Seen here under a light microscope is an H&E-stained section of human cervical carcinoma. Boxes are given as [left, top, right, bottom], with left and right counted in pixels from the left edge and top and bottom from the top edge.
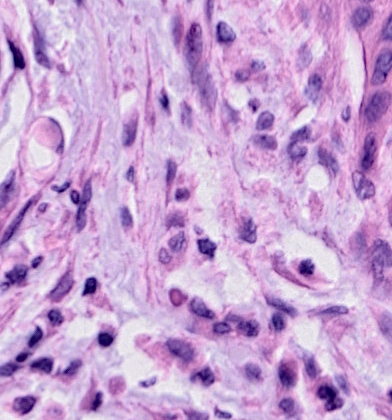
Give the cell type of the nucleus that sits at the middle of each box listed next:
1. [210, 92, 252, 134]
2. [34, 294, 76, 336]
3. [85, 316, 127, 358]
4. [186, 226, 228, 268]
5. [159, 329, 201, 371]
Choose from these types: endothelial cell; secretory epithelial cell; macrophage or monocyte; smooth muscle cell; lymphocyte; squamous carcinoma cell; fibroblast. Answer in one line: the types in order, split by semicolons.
fibroblast; lymphocyte; lymphocyte; lymphocyte; macrophage or monocyte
